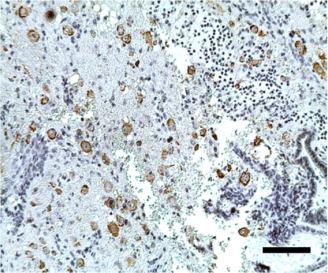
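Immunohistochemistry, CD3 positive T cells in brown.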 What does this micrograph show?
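The brown cells are round, single, and stained most strongly at their rim, giving a ring-like look around a paler centre. Toward the right, denser collections of small, dark blue nuclei are packed together. At lower right lies an epithelial structure lined by tall cells with elongated nuclei, bordered by empty clefts. The background between cells is pale and finely granular.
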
